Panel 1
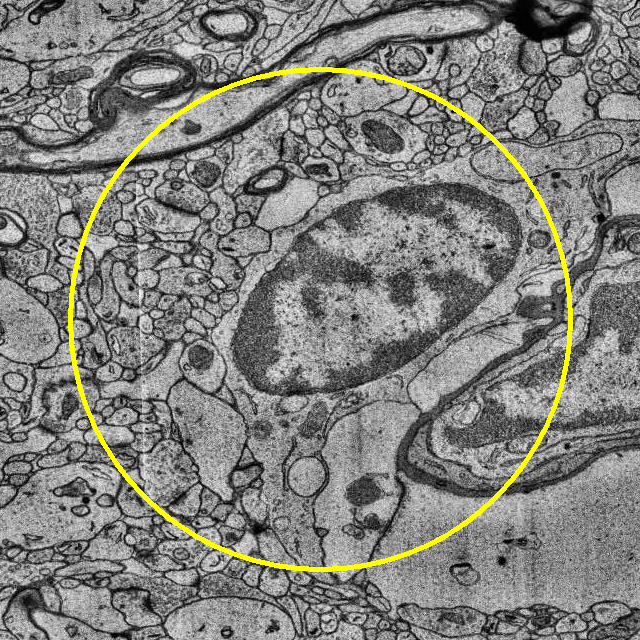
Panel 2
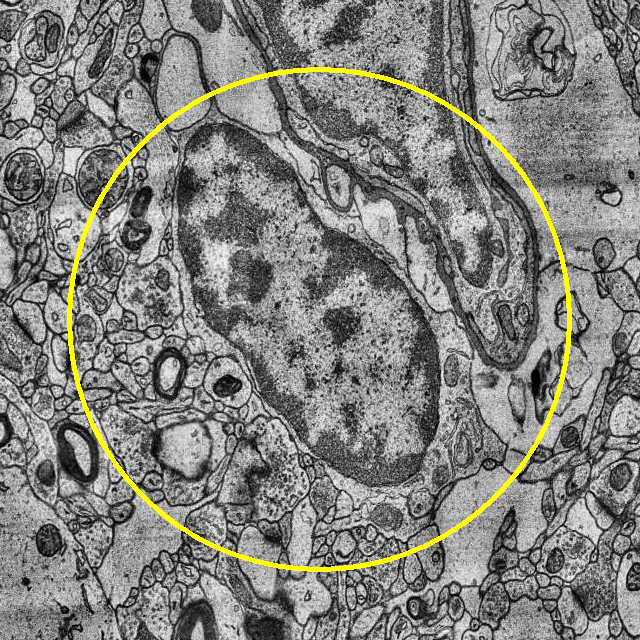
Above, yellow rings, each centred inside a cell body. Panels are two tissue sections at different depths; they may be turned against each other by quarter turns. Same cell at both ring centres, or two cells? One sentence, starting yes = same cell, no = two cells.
Yes, a single cell is the subject of both yellow rings.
